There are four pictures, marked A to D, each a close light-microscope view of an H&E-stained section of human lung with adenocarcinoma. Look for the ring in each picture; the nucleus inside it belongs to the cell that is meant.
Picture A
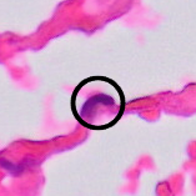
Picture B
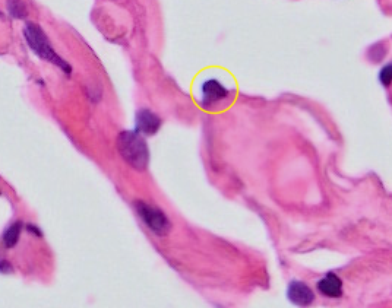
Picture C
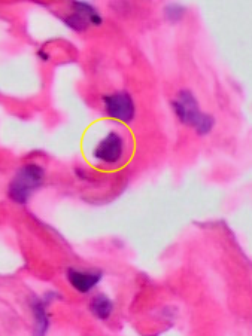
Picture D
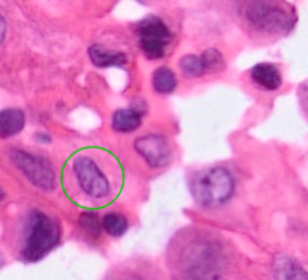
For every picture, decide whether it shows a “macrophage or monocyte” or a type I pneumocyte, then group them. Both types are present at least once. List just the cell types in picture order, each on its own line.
type I pneumocyte
type I pneumocyte
type I pneumocyte
macrophage or monocyte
